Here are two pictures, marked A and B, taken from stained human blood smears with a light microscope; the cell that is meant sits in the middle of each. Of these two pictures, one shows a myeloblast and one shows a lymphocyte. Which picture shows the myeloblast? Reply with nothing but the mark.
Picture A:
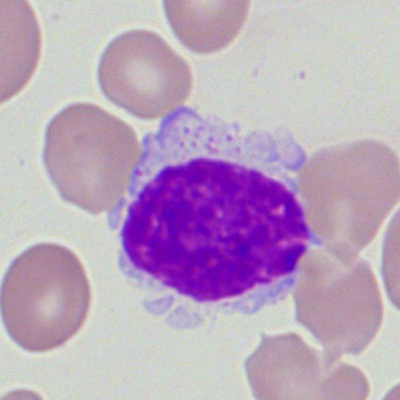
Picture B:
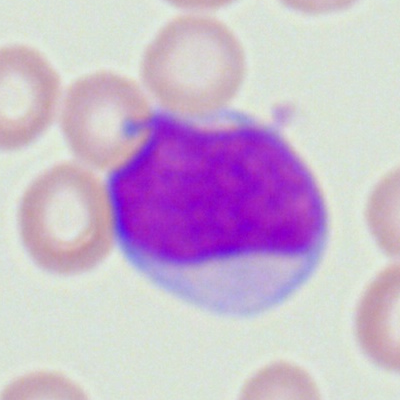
B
